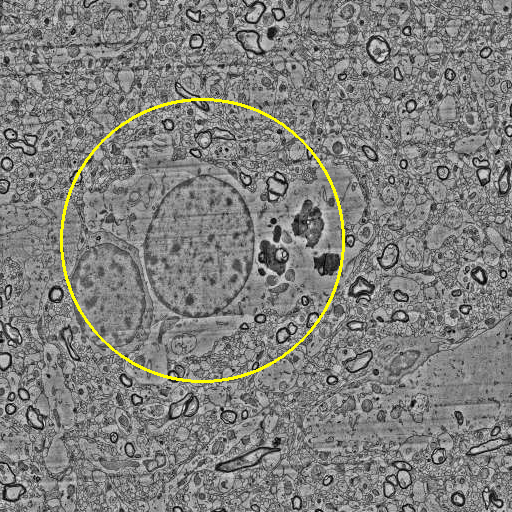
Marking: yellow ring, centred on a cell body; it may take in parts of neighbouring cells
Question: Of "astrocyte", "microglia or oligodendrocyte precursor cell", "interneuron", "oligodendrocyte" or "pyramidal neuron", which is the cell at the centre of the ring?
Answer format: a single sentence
The ring surrounds the body of an astrocyte.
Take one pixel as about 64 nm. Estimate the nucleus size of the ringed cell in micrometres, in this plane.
The ringed cell's nucleus measures approximately 9 by 7 micrometres in this plane.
